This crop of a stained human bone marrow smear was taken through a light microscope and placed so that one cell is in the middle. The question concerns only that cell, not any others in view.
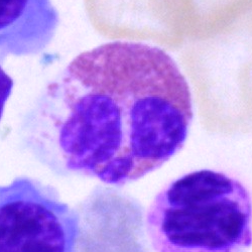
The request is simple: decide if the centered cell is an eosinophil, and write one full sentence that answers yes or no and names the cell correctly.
Yes, the one cell at the centre is an eosinophil.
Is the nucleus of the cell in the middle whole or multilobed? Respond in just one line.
Kindly observe that the nucleus forms two or more lobes.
